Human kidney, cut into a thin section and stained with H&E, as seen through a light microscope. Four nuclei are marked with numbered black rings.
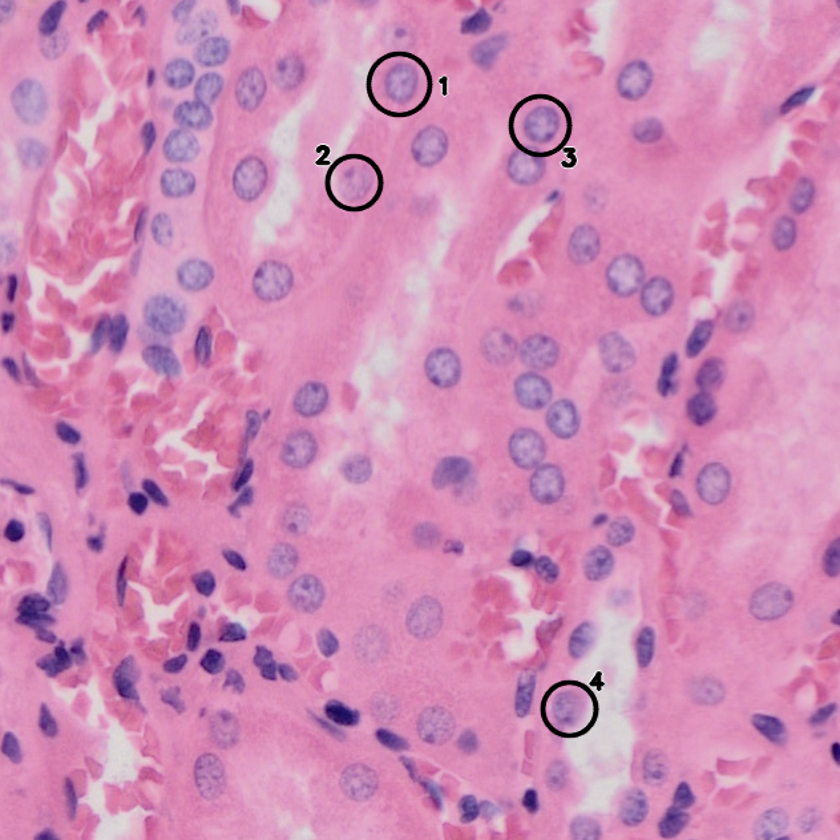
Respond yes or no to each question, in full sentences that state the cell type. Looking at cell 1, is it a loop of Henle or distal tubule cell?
No, the cell given number 1 is a proximal tubule cell, as opposed to a loop of Henle or distal tubule cell.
